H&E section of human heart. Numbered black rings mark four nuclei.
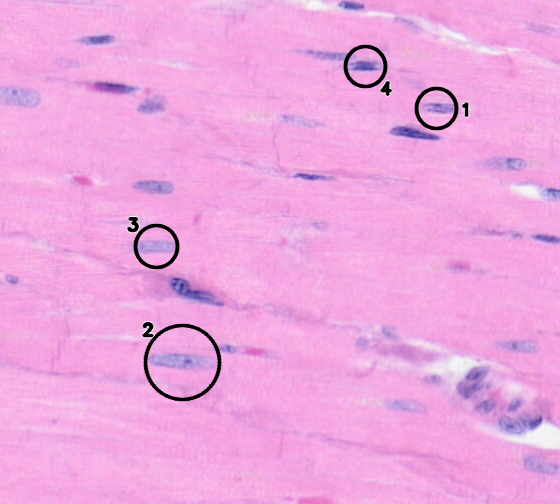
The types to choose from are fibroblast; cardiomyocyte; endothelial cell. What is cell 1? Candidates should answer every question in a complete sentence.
The cell given label 1 is an endothelial cell.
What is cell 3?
The nucleus labelled 3 belongs to a cardiomyocyte.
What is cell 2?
The label 2 in this section denotes a cardiomyocyte.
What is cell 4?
The label 4 in this section denotes an endothelial cell.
